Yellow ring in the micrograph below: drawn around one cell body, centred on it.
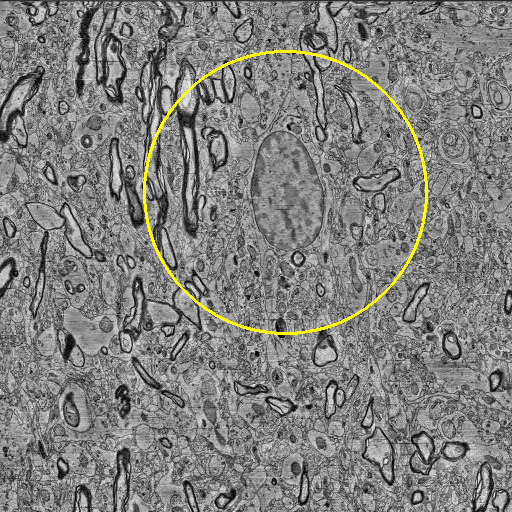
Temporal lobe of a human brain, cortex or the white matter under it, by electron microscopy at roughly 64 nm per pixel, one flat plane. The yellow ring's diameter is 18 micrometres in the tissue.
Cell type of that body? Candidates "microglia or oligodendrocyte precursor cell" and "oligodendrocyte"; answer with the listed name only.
microglia or oligodendrocyte precursor cell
